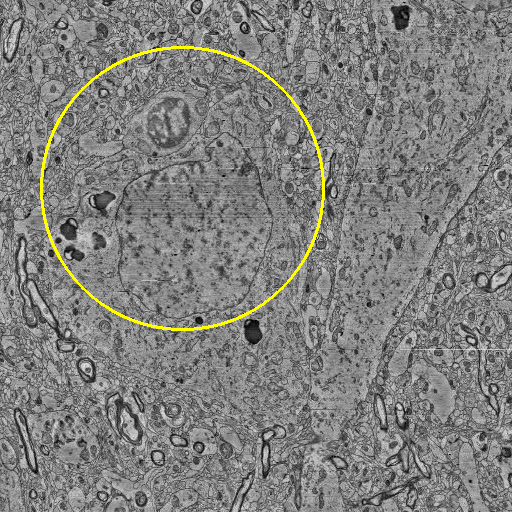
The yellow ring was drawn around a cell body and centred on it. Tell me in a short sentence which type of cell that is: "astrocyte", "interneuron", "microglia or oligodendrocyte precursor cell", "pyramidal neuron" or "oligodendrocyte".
The cell at the ring's centre is a pyramidal neuron.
